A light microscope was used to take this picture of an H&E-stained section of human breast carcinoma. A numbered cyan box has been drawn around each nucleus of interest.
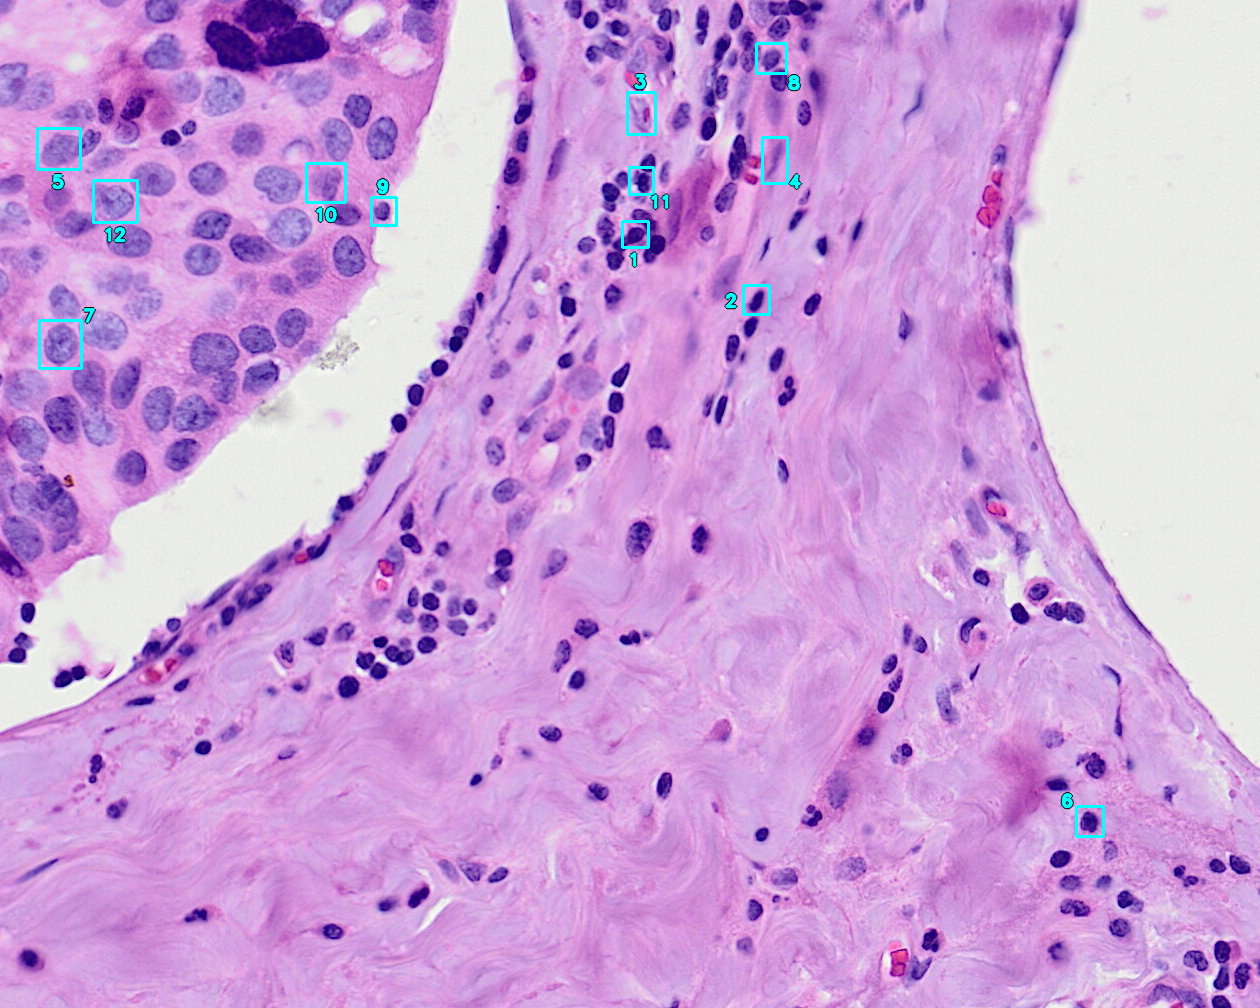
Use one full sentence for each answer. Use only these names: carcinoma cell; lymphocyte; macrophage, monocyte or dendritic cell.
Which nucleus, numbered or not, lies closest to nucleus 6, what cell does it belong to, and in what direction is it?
The nearest one is a macrophage, monocyte or dendritic cell, found below and to the right of nucleus 6.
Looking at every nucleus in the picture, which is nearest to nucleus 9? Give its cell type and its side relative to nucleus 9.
The nearest nucleus is that of a carcinoma cell and lies to the left of nucleus 9.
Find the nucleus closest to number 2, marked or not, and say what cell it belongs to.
The nearest nucleus to number 2 belongs to a lymphocyte.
